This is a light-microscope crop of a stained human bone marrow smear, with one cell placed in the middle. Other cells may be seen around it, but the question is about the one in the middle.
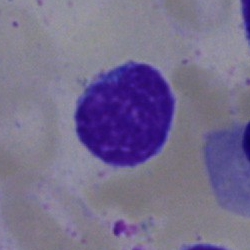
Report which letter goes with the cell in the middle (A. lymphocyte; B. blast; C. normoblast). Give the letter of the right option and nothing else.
A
